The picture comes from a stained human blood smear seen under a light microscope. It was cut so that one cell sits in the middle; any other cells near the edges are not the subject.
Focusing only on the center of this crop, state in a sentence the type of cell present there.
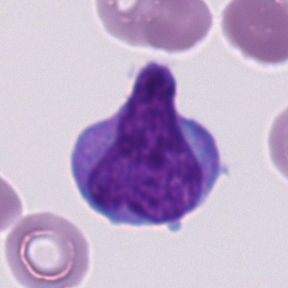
The middle position in this crop is taken by an atypical promyelocyte.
